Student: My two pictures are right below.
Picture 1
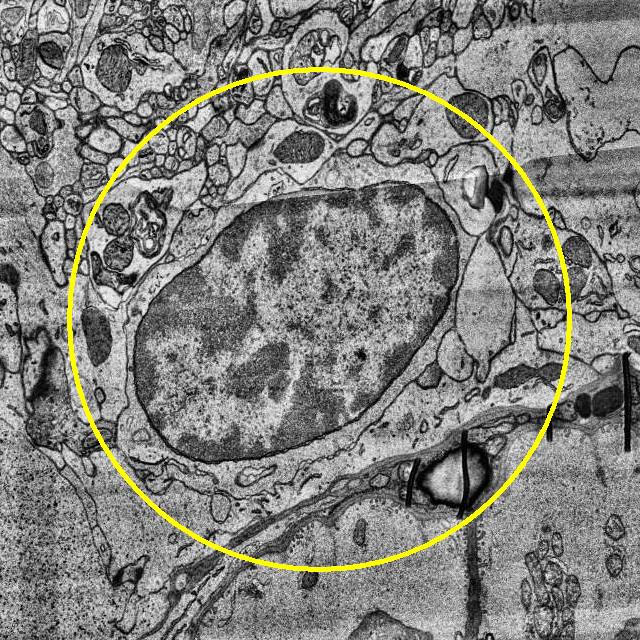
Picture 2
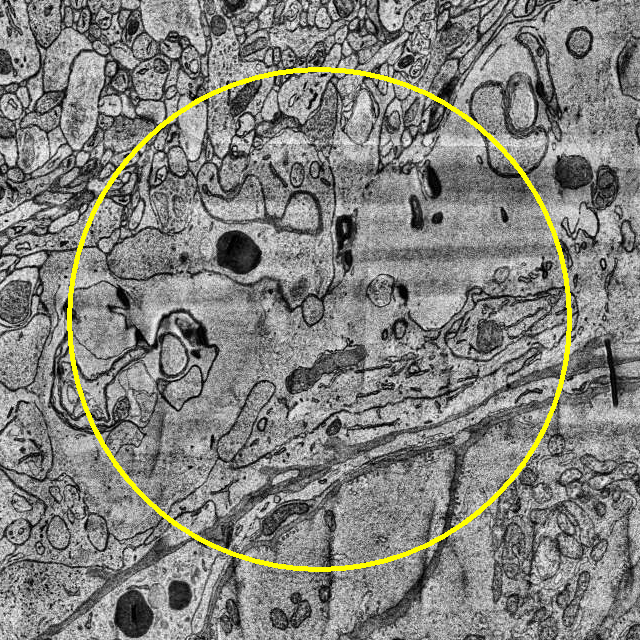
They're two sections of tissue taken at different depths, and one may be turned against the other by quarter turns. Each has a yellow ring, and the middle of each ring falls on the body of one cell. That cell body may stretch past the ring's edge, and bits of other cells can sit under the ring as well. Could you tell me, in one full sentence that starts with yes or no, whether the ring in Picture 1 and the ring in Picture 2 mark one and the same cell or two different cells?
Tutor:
Yes, the rings do not mark different cells but one cell.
